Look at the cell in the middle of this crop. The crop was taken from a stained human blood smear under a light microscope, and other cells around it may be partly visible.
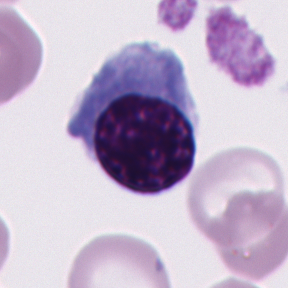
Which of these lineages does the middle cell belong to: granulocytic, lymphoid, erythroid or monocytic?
erythroid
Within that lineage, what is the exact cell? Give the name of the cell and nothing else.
normoblast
